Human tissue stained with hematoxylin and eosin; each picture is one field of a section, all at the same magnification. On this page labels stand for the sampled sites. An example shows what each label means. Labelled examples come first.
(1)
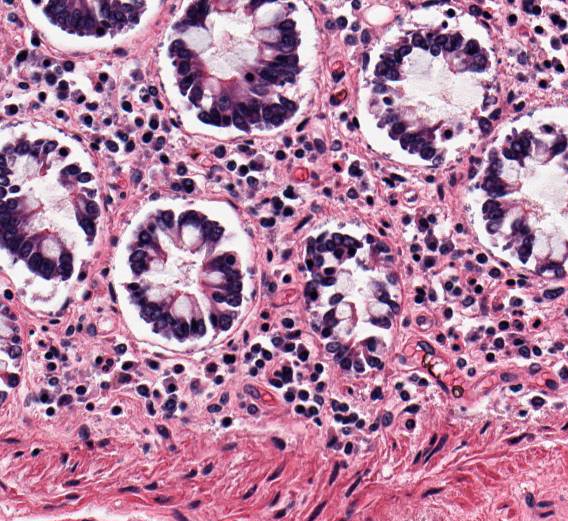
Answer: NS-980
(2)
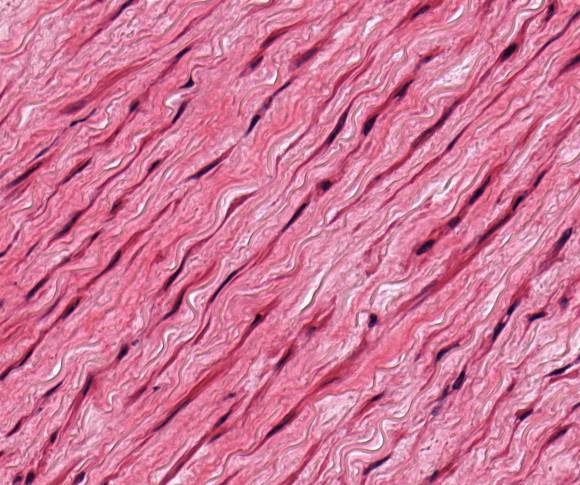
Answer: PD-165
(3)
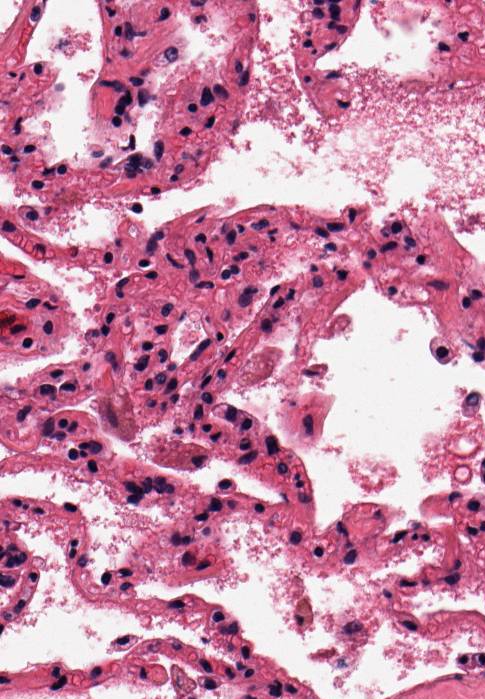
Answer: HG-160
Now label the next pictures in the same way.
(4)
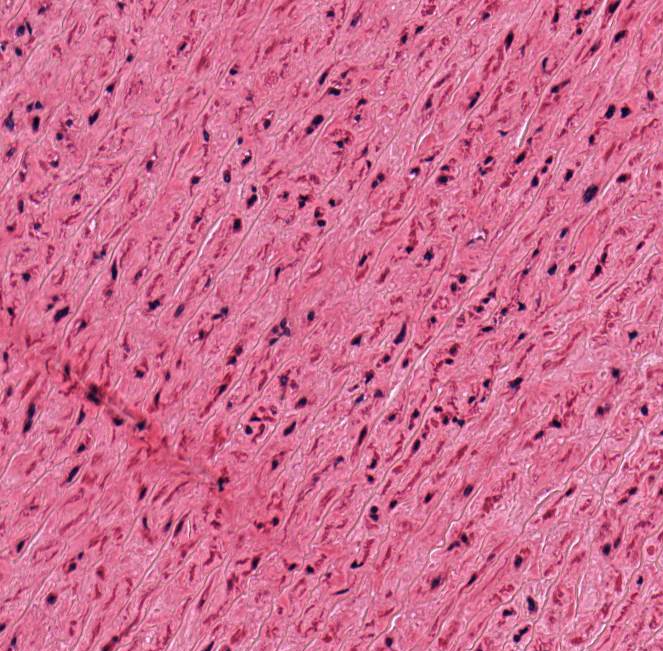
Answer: PD-165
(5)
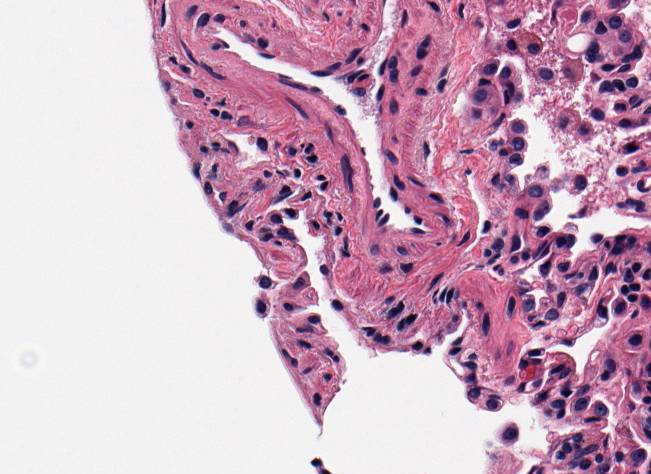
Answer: HG-160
